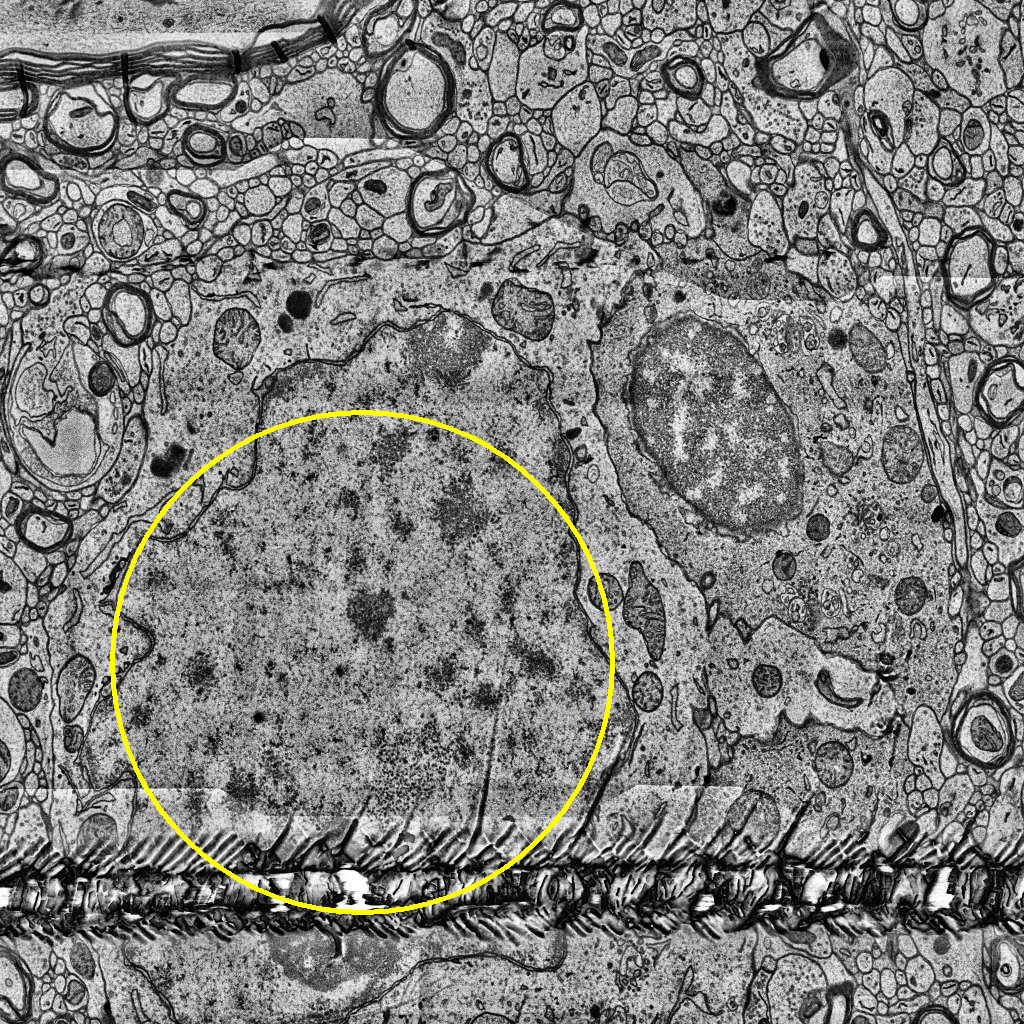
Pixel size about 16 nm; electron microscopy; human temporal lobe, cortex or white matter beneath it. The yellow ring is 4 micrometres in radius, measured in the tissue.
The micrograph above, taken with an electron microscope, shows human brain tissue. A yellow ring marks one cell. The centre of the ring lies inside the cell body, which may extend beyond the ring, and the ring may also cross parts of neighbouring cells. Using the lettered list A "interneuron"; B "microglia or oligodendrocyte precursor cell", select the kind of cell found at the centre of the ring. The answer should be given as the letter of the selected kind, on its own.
A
